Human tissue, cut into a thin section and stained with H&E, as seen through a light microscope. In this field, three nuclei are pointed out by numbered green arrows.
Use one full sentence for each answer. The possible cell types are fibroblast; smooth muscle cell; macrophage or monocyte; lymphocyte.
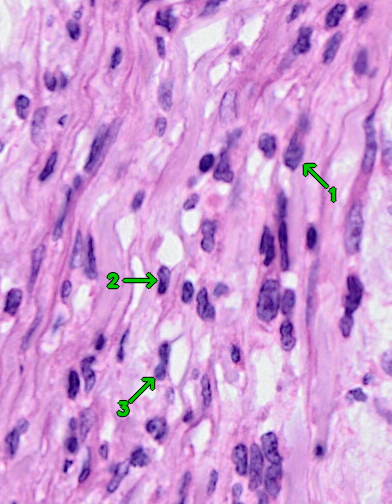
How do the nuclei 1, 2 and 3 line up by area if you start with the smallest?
Smallest first, the nuclei run 3, 2, 1.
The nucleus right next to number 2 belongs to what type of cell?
It is a lymphocyte whose nucleus is nearest to number 2.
